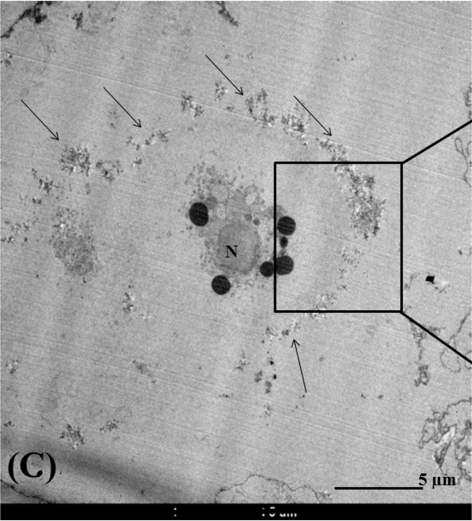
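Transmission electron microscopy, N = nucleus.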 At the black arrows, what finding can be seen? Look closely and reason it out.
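Irregular patches of fluffy, flocculent dense material lie in the matrix. The patches form a loose ring some distance around a single cell. So: flaky accumulation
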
